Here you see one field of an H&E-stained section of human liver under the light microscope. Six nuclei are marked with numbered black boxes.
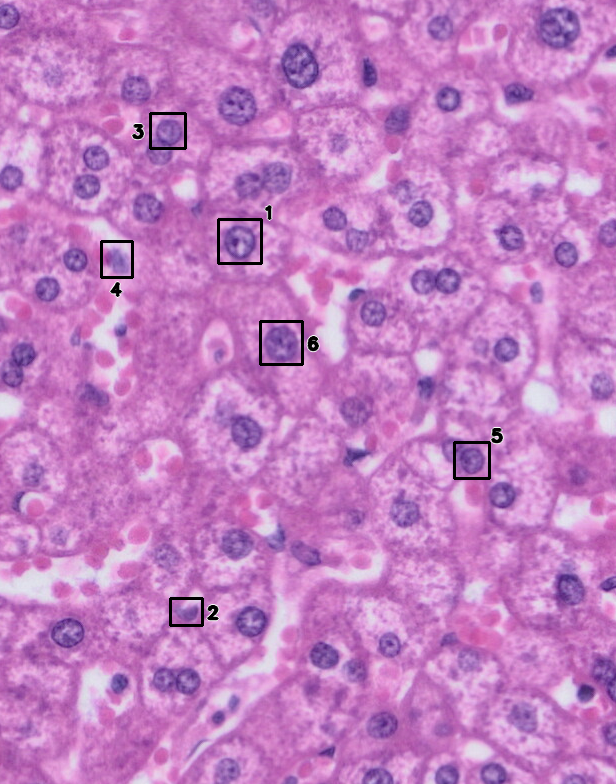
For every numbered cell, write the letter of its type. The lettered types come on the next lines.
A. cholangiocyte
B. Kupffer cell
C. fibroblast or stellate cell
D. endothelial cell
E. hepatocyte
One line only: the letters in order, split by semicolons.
E; D; E; D; E; E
